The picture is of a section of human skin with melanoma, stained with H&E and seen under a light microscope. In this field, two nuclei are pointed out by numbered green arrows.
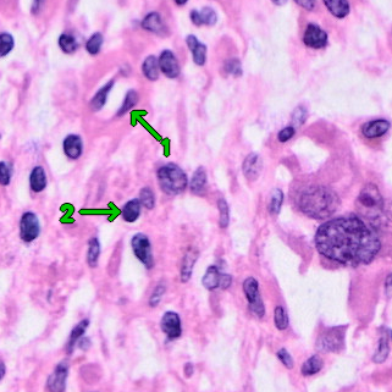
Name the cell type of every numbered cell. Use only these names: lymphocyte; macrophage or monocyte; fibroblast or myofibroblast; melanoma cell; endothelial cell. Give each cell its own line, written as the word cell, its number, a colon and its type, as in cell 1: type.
cell 1: endothelial cell
cell 2: lymphocyte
